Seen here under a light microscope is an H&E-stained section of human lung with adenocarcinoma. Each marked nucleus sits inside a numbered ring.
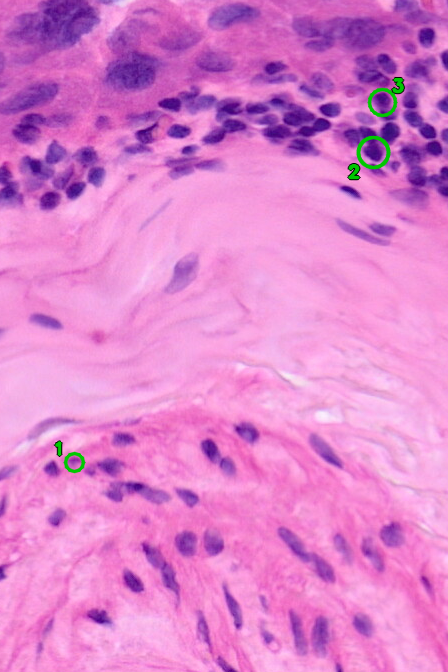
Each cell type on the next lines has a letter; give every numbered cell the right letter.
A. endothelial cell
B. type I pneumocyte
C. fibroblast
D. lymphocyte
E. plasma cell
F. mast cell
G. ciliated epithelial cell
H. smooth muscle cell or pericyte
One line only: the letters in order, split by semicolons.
H; D; D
